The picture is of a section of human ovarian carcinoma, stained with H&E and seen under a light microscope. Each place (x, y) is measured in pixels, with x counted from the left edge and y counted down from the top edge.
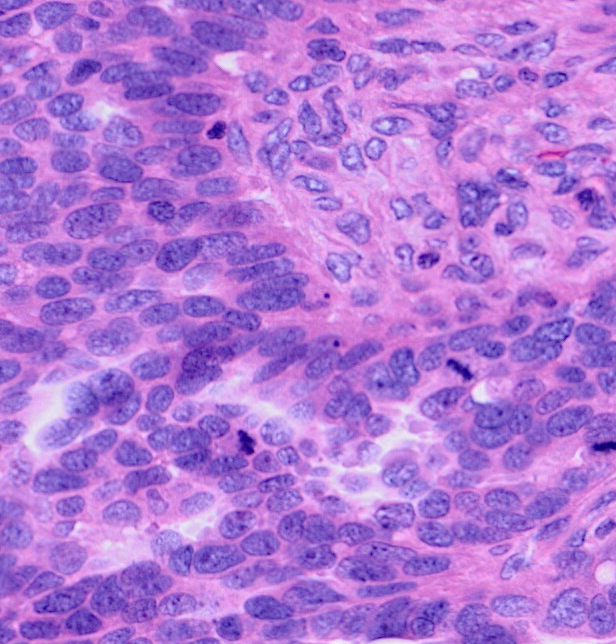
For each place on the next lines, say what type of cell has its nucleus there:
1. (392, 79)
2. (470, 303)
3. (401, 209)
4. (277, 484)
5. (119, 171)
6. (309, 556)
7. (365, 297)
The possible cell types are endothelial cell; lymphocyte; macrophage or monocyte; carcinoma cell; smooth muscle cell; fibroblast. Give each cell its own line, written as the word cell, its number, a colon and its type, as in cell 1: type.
cell 1: fibroblast
cell 2: fibroblast
cell 3: fibroblast
cell 4: carcinoma cell
cell 5: carcinoma cell
cell 6: carcinoma cell
cell 7: fibroblast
